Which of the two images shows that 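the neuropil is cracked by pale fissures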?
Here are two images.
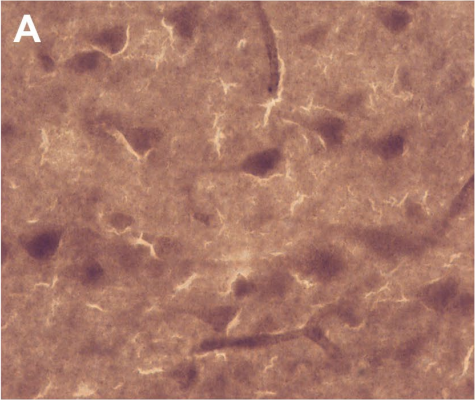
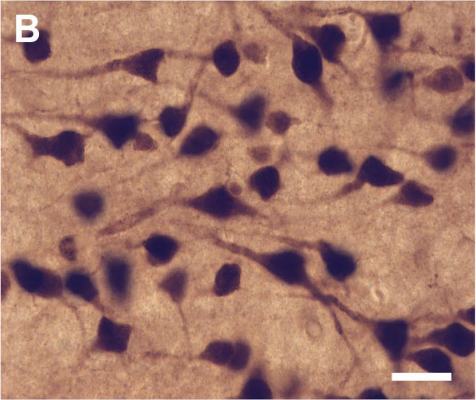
The first image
